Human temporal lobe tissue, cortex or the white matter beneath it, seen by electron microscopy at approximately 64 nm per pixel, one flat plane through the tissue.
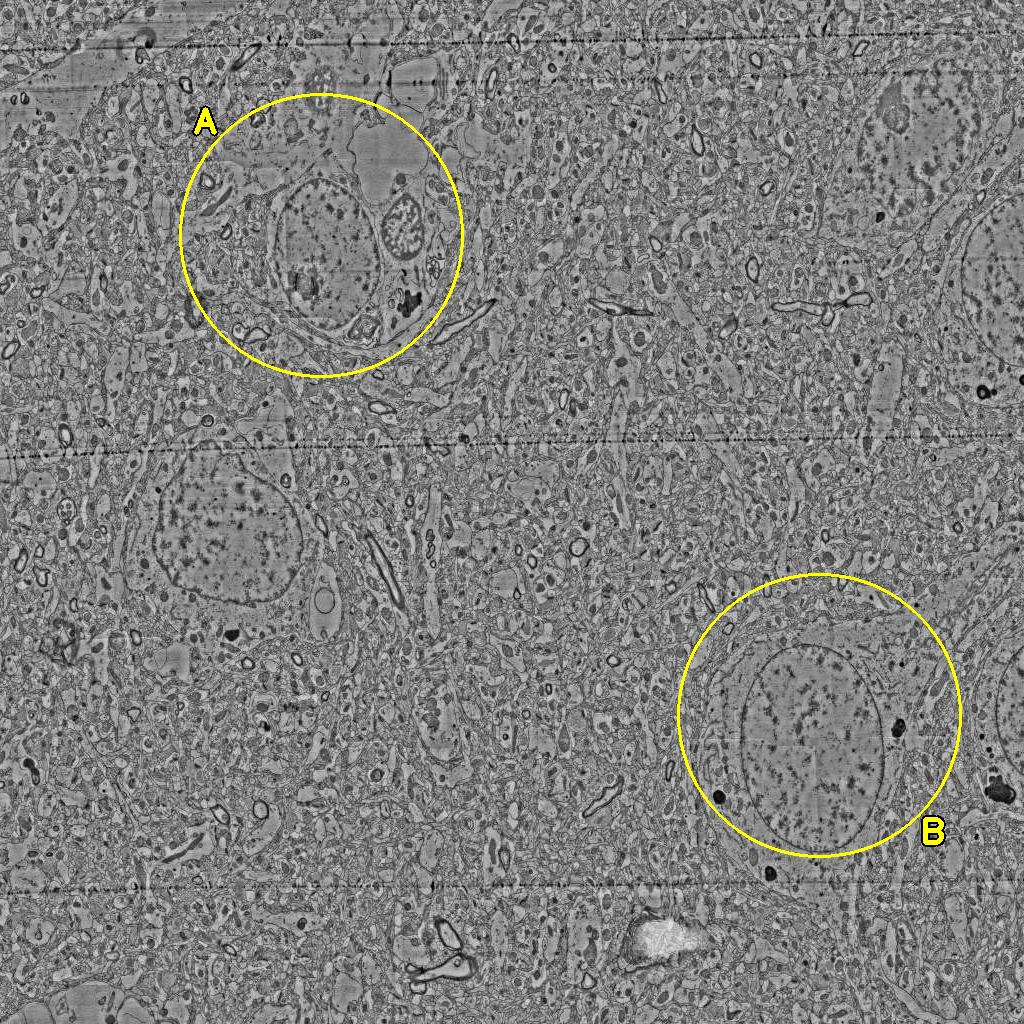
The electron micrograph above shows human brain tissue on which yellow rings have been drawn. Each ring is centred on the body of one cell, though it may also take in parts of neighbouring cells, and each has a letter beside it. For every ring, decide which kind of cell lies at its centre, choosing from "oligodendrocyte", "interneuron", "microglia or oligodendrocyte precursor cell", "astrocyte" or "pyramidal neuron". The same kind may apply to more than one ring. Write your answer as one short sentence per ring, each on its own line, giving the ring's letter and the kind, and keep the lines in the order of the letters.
Ring A is centred on an astrocyte.
Ring B is centred on a pyramidal neuron.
